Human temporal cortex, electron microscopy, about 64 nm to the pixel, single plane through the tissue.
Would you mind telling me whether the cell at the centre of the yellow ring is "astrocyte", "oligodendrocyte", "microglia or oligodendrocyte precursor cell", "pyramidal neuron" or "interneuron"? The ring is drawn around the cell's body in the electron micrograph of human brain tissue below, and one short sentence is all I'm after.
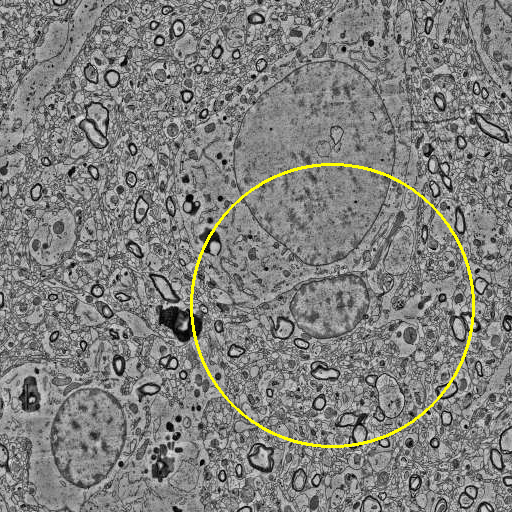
In the centre of the ring lies an oligodendrocyte.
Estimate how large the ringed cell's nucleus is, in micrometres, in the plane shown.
In this plane, roughly 5 by 4 micrometres.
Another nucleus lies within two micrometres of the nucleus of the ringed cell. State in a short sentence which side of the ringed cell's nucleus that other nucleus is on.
The other nucleus is found above it.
